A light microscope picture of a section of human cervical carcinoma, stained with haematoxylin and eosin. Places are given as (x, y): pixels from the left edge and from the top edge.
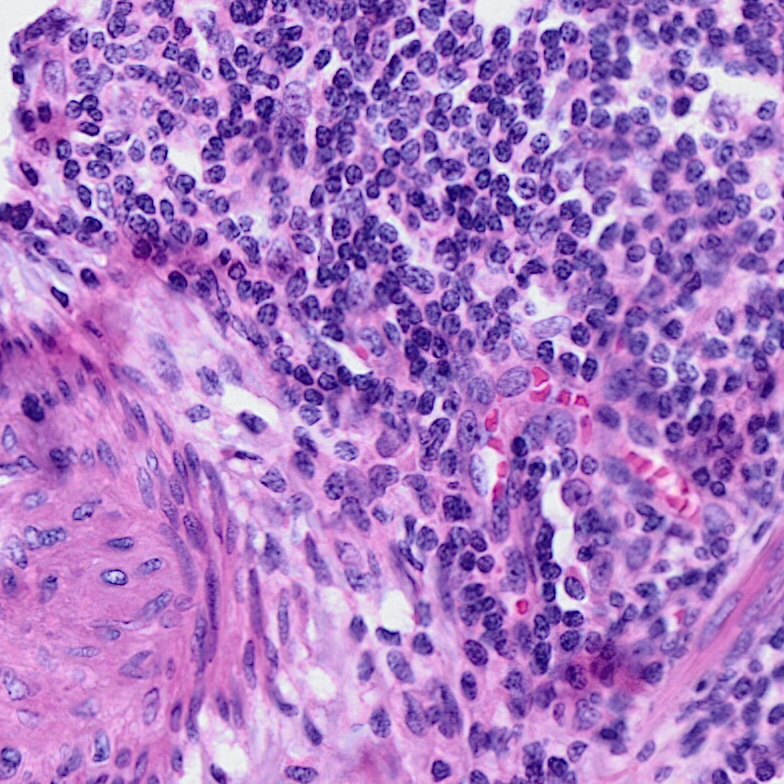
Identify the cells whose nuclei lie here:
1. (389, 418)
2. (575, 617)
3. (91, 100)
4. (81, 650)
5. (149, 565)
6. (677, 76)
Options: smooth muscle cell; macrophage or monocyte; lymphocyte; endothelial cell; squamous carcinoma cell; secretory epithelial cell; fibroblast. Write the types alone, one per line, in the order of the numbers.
lymphocyte
lymphocyte
lymphocyte
smooth muscle cell
smooth muscle cell
lymphocyte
